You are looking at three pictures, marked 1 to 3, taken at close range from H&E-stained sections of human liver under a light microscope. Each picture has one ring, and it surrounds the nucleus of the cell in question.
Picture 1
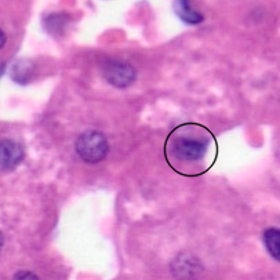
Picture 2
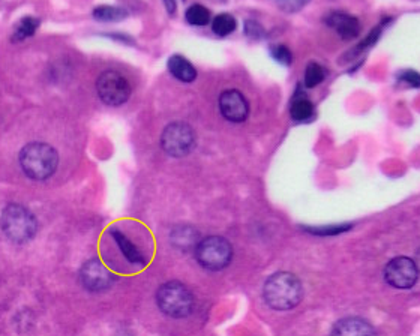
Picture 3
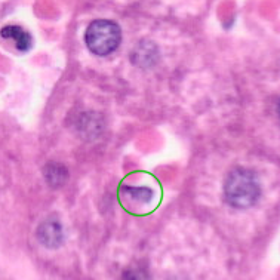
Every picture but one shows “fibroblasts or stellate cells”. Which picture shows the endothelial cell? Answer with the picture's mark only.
3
